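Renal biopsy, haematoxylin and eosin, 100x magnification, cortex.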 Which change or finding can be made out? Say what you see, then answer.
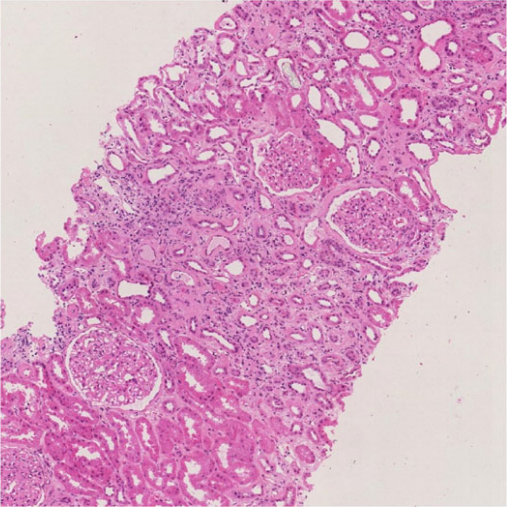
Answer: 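A band of cell-rich, widened interstitium crosses the core. Tubules within this band are small and widely spaced.
Answer: banded distribution of interstitial fibrosis and tubular atrophy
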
